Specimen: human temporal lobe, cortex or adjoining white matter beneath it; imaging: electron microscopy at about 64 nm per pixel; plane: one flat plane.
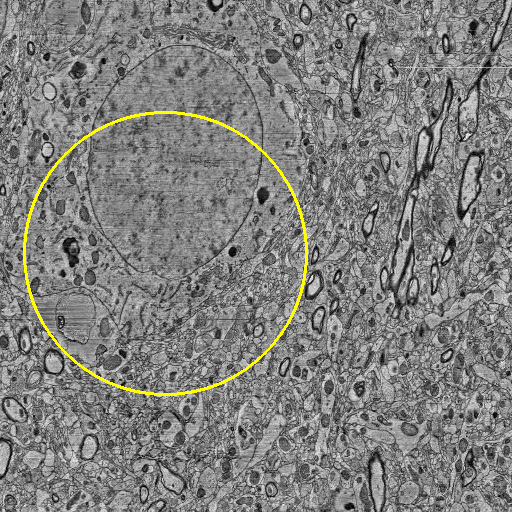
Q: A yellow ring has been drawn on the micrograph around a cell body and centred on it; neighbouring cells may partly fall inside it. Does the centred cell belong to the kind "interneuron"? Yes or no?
No, it belongs to another kind.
